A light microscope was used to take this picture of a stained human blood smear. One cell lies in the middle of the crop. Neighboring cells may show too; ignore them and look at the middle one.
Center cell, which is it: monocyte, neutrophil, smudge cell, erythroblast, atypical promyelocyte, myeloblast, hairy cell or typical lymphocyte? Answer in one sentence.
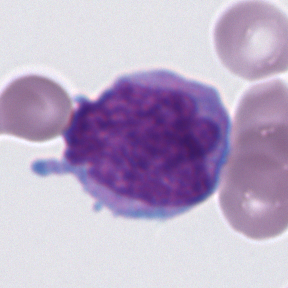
By type, the central cell of the crop is an atypical promyelocyte.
